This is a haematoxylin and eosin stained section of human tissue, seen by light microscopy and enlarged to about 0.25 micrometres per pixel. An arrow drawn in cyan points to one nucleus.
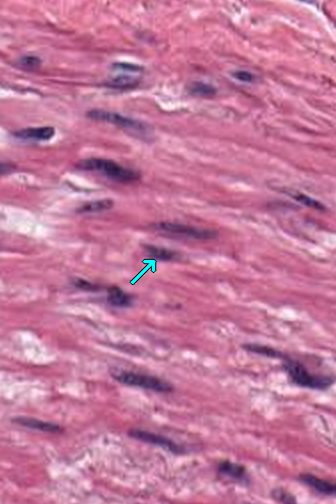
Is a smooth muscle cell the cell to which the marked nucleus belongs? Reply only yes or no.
yes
